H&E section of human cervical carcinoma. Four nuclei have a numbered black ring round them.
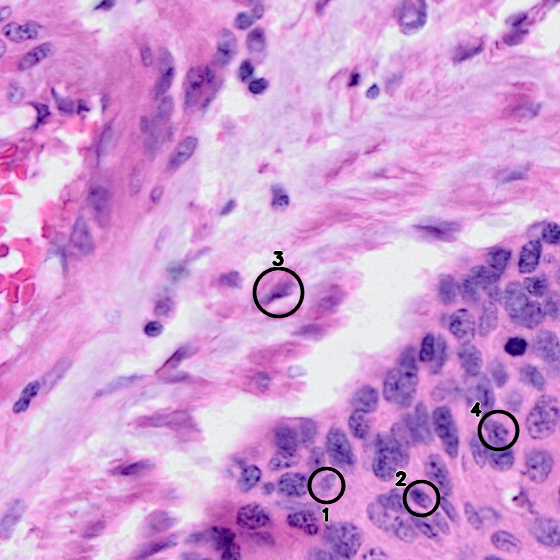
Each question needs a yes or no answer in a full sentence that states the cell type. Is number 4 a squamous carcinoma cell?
Yes, the number 4 belongs to a squamous carcinoma cell.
